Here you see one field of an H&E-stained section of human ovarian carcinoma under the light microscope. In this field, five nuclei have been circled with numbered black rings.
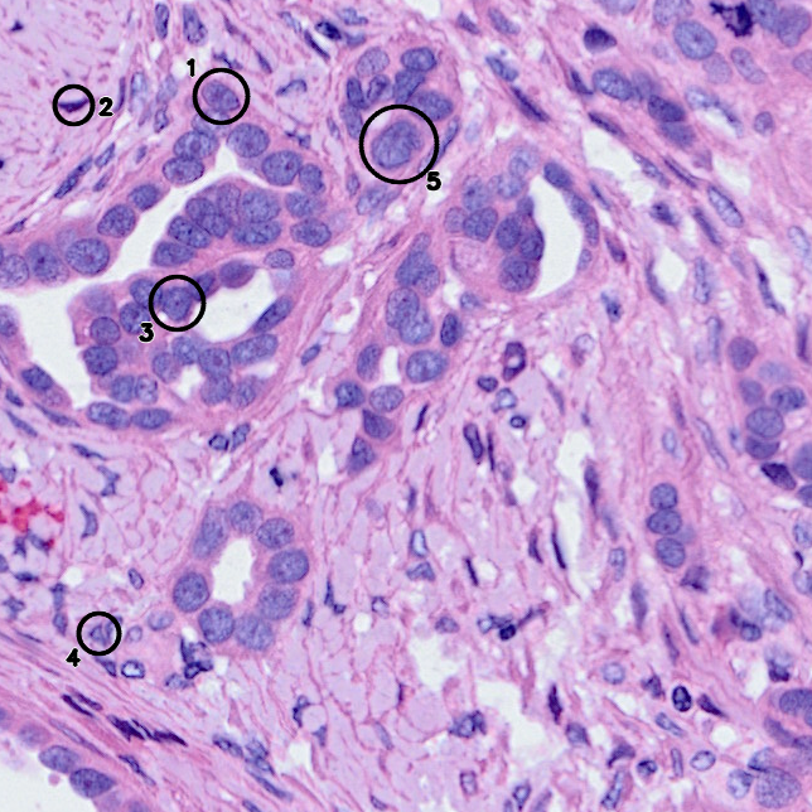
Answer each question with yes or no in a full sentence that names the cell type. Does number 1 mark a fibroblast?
No, number 1 corresponds to a carcinoma cell, not a fibroblast.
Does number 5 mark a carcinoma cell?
Yes, the cell marked by the number 5 is a carcinoma cell.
